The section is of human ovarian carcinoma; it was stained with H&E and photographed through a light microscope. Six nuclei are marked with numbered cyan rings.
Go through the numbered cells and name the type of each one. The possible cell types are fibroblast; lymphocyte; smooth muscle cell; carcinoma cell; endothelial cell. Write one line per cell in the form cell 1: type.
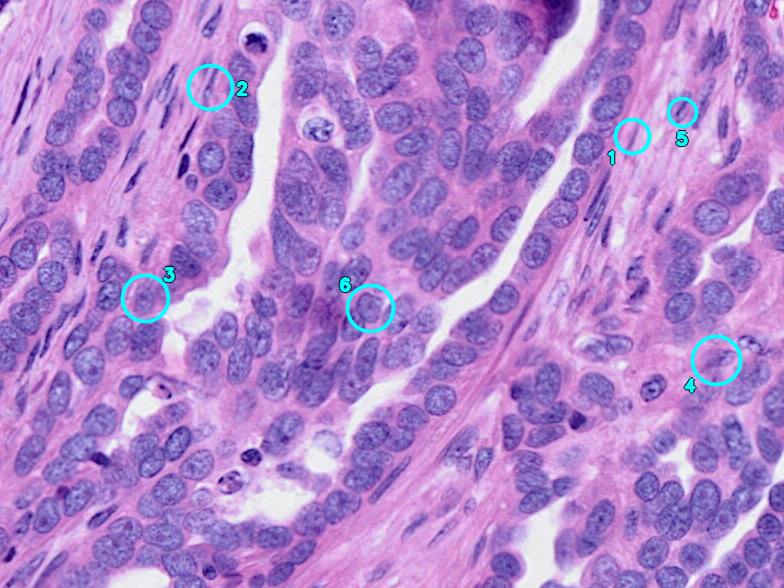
cell 1: fibroblast
cell 2: fibroblast
cell 3: carcinoma cell
cell 4: fibroblast
cell 5: fibroblast
cell 6: carcinoma cell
